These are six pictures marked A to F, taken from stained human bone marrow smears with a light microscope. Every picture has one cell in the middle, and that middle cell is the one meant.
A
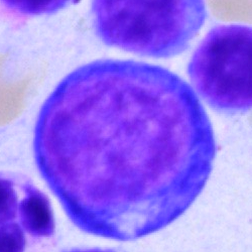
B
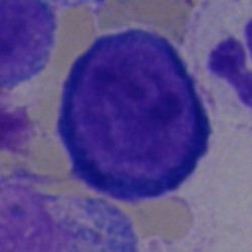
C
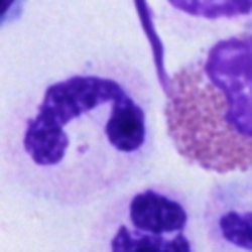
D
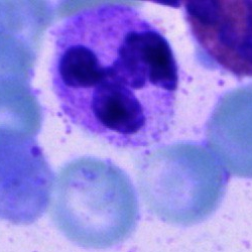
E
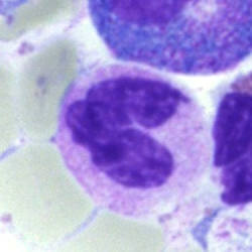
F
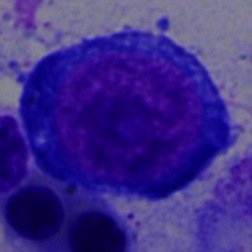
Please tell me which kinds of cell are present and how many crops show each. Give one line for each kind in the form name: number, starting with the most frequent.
proerythroblast: 3
segmented neutrophil: 2
band neutrophil: 1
